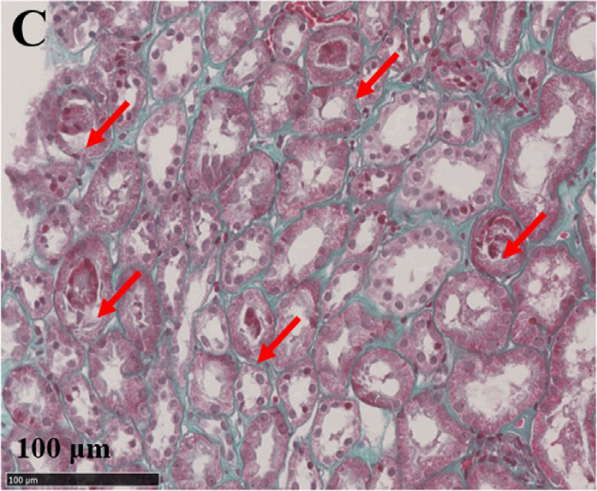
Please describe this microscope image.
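This is kidney tissue with closely packed renal tubules whose epithelial cells stain red to purple, separated by thin green-staining interstitial strands. The tubular cells are cuboidal with round dark nuclei arranged around central lumens. In several tubules the lumen is not clear but filled with red-staining material mixed with detached, rounded cells bearing nuclei. Other tubules have open, pale lumens. The filled lumens suggest shed tubular epithelial cells and proteinaceous casts within some tubules.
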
